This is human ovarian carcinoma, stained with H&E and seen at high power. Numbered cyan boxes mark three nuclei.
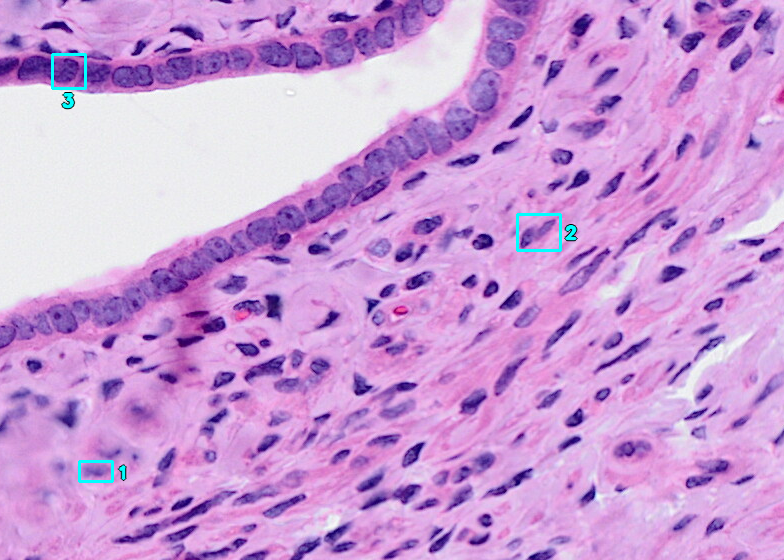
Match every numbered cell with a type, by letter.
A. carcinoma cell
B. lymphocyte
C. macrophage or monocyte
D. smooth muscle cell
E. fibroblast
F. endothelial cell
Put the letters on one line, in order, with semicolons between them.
D; D; A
